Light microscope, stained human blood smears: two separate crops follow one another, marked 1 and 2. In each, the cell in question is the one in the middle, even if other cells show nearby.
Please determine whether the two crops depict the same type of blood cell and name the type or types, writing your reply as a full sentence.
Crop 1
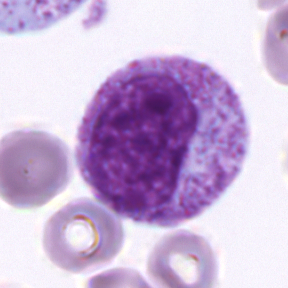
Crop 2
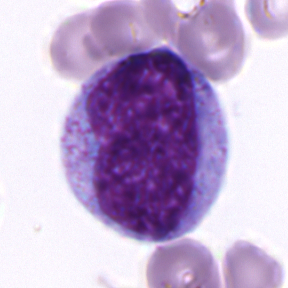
No, it is a myelocyte that crop 1 shows, and a promyelocyte that crop 2 shows.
